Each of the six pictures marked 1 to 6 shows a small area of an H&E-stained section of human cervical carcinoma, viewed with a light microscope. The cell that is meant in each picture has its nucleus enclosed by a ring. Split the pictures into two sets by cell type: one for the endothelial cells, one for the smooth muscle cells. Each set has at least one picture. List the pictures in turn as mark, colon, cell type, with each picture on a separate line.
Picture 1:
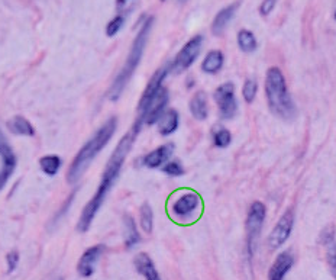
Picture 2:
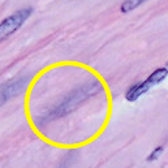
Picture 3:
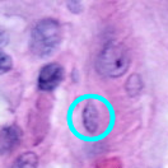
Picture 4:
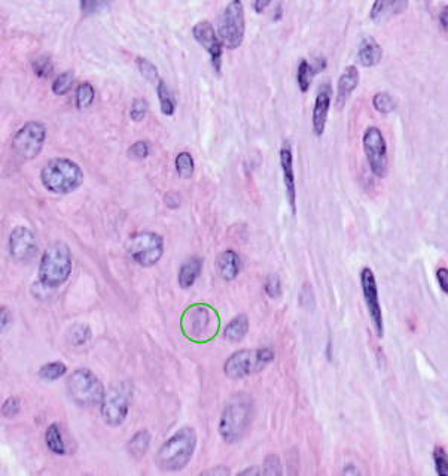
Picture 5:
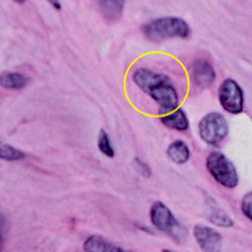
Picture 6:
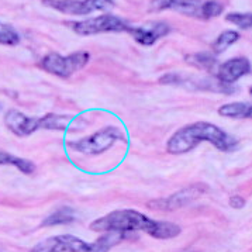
1: smooth muscle cell
2: smooth muscle cell
3: endothelial cell
4: smooth muscle cell
5: endothelial cell
6: smooth muscle cell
